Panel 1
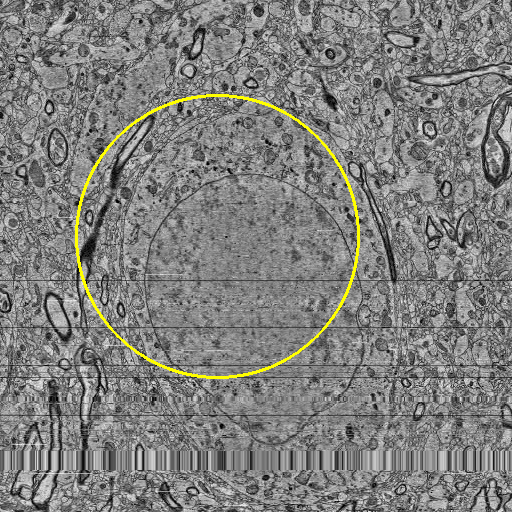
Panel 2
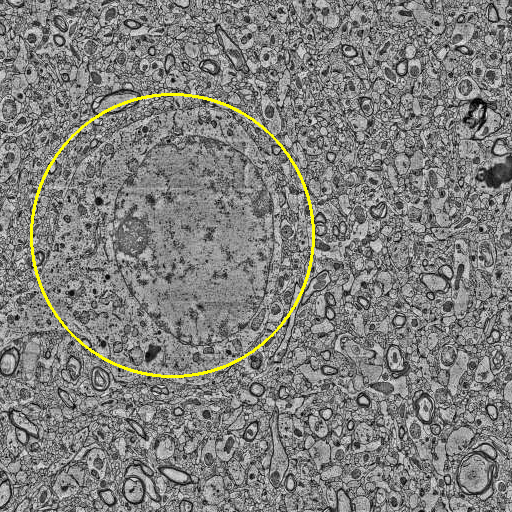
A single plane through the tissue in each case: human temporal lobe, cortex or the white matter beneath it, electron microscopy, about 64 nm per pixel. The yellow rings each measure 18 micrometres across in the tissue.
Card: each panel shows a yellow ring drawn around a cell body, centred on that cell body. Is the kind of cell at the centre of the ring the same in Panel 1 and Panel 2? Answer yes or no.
yes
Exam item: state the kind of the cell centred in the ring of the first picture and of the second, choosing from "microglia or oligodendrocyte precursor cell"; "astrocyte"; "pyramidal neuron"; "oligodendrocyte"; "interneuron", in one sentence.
In both pictures the ring is centred on a pyramidal neuron.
